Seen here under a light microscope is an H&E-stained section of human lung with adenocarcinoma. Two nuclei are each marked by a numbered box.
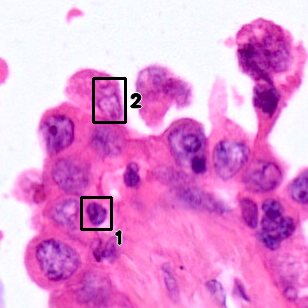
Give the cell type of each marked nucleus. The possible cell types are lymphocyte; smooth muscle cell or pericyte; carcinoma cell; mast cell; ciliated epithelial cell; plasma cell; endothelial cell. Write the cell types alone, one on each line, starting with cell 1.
lymphocyte
carcinoma cell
